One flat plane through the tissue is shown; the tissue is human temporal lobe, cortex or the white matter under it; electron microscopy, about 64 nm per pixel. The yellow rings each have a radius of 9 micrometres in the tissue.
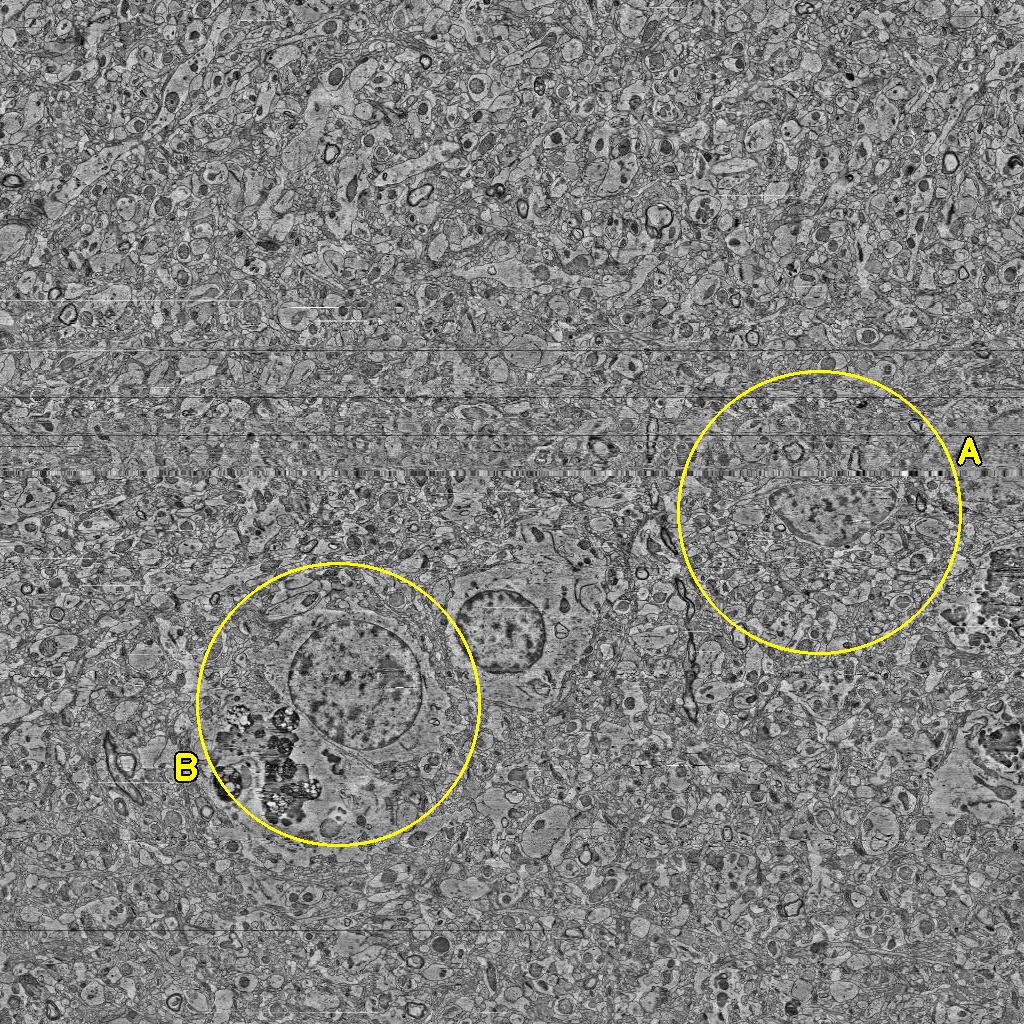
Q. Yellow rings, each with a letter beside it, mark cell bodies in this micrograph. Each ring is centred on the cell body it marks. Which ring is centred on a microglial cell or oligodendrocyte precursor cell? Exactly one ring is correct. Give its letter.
A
